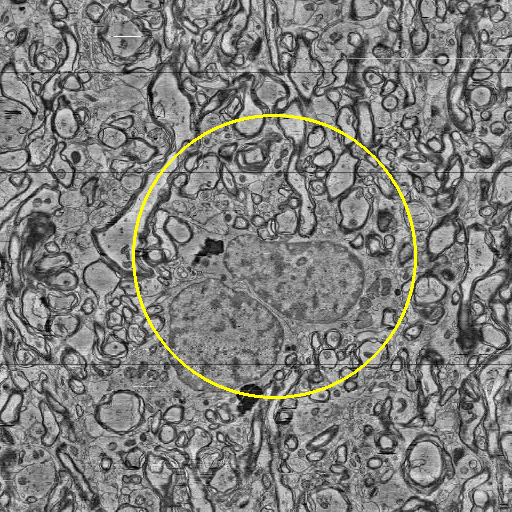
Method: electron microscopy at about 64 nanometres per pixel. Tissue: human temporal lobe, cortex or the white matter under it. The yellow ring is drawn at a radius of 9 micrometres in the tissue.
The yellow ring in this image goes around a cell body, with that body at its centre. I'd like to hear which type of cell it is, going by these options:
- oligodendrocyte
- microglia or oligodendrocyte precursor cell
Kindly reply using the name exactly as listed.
oligodendrocyte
